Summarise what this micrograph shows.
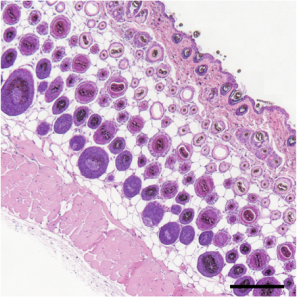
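This section of skin is cut obliquely through the full thickness, with a thin epidermis at the top, a dermis crowded with hair follicles, a fatty layer and a band of muscle below. The hair follicles are cut across as round profiles of purple-stained epithelium, each enclosing a dark pigmented hair shaft, with the largest follicles lying deepest. Clear, empty-looking fat cells fill the spaces between the deeper follicles. At the bottom lies a band of pink muscle fibres, running beneath the fatty layer.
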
